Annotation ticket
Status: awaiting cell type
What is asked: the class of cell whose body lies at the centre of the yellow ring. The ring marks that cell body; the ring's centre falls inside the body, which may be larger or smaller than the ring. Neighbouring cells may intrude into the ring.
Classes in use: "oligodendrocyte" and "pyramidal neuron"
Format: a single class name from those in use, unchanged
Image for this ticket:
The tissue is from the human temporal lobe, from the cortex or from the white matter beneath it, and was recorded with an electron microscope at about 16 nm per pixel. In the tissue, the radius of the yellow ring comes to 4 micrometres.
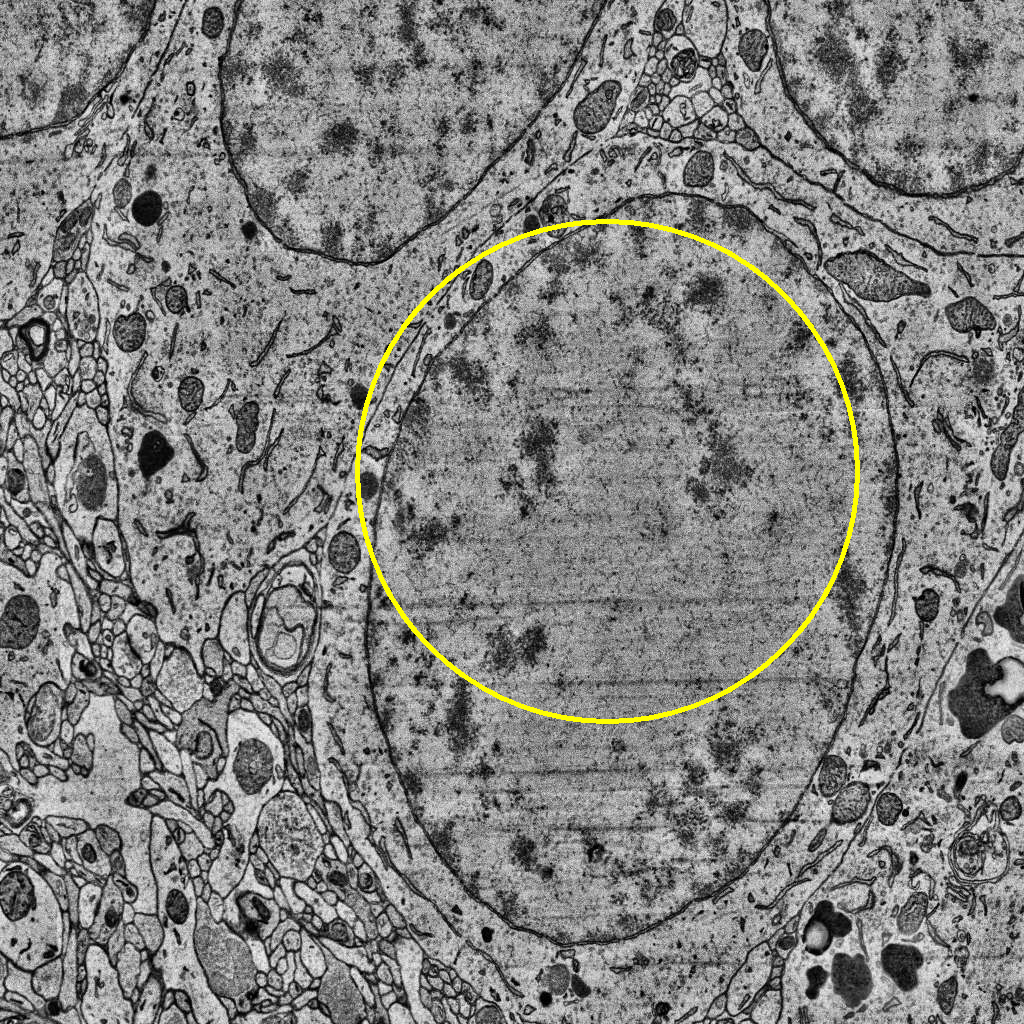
pyramidal neuron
